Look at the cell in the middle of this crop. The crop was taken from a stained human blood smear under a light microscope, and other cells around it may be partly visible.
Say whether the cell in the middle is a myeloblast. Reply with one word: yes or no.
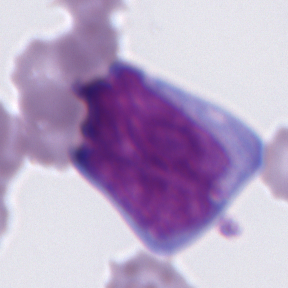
yes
